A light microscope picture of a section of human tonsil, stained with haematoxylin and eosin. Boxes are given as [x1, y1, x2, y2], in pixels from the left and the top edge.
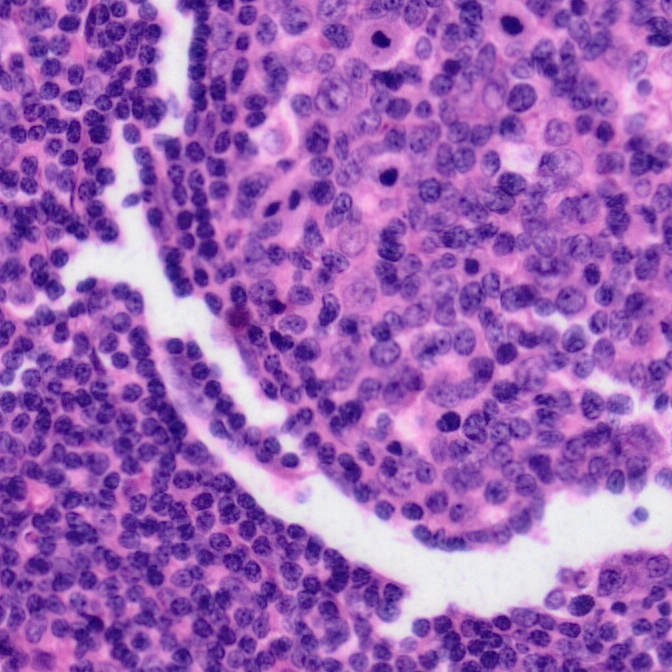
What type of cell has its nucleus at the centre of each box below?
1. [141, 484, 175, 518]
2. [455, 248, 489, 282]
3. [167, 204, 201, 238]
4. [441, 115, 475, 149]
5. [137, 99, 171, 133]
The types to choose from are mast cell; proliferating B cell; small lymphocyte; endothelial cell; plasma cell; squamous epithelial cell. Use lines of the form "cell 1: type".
cell 1: small lymphocyte
cell 2: proliferating B cell
cell 3: small lymphocyte
cell 4: proliferating B cell
cell 5: small lymphocyte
